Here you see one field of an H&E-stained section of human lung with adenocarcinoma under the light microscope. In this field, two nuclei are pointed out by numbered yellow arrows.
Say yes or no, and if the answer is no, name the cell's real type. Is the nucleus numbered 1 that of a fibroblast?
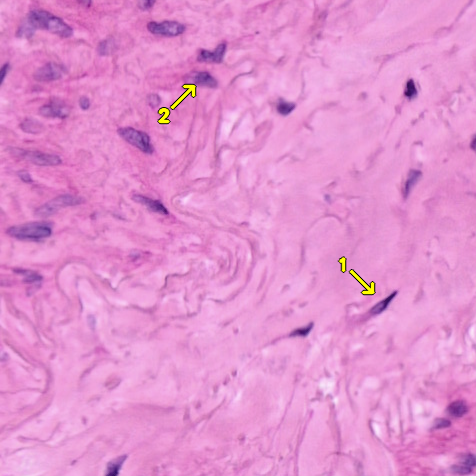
Yes.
